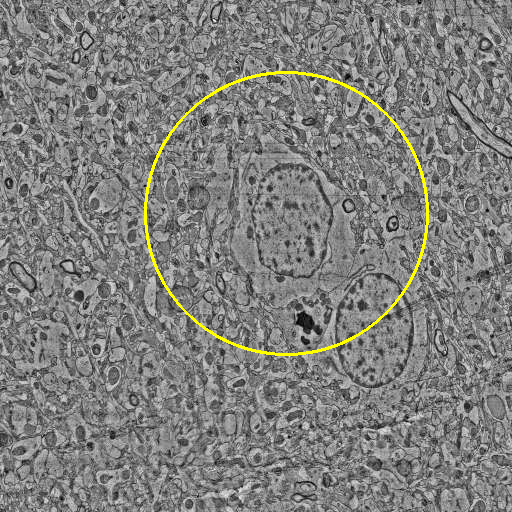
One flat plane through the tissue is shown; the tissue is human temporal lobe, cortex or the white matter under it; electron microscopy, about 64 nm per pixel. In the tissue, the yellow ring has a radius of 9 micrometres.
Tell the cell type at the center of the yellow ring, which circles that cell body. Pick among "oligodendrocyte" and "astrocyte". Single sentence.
The ring is centered on the body of an astrocyte.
